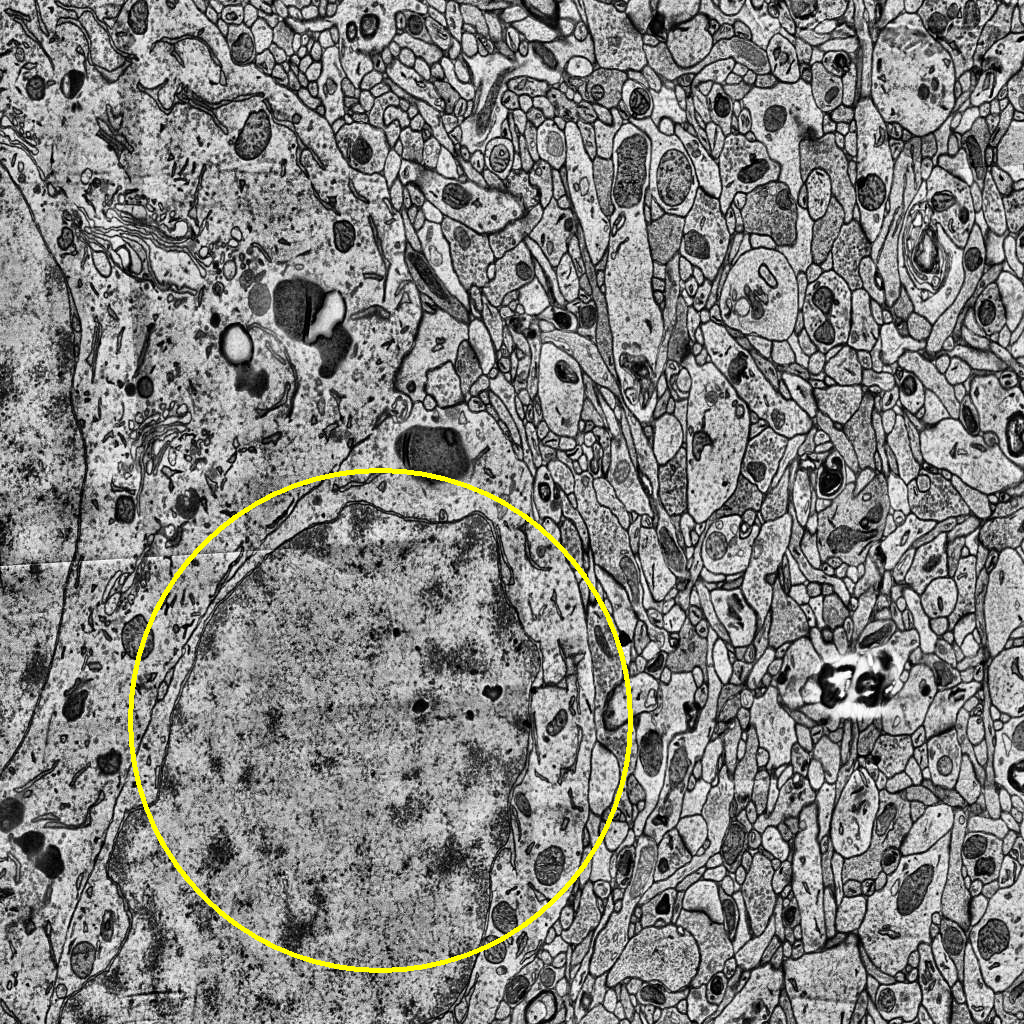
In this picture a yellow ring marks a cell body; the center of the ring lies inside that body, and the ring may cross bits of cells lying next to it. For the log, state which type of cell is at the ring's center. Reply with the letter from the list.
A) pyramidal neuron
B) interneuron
B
